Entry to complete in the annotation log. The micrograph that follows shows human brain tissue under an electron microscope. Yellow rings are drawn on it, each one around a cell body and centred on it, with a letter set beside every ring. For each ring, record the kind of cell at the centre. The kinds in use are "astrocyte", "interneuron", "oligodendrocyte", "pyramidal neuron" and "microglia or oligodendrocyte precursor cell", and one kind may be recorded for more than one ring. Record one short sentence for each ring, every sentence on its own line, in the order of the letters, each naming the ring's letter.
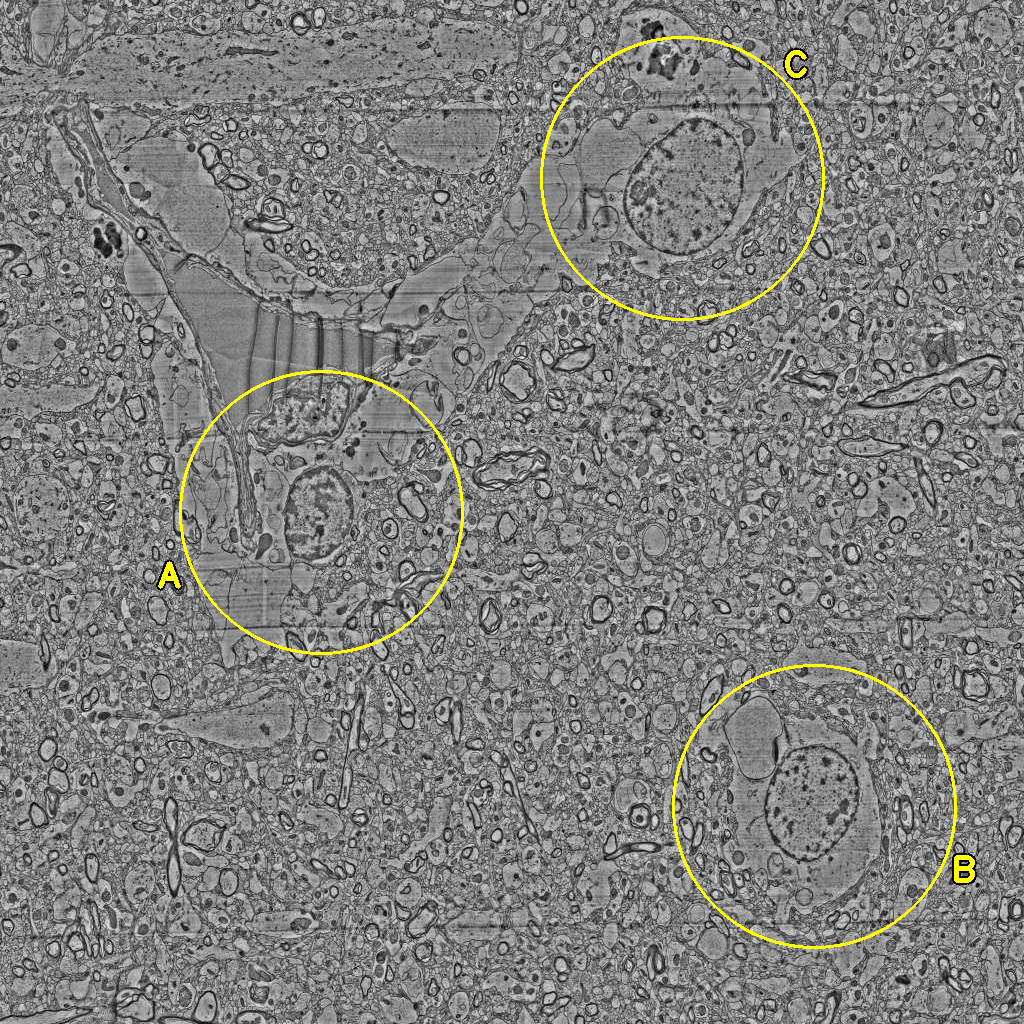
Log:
Ring A is placed around an oligodendrocyte.
Ring B is placed around an astrocyte.
Ring C is placed around an astrocyte.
